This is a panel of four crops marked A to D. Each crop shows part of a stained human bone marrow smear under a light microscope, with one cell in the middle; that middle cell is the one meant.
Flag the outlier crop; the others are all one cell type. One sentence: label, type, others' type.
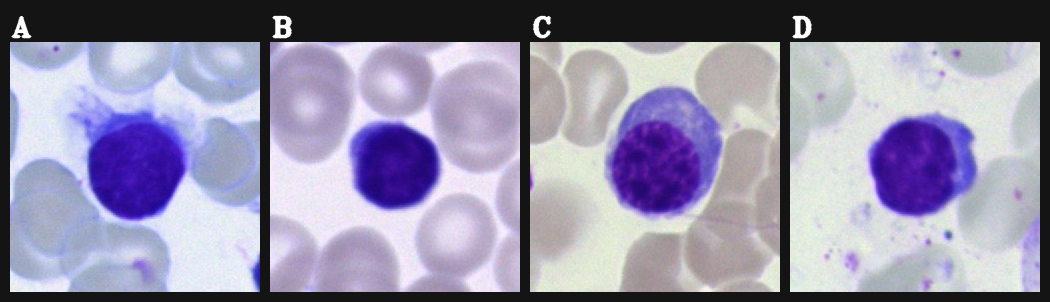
Crop C differs from its companions, showing a normoblast where they show lymphocytes.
